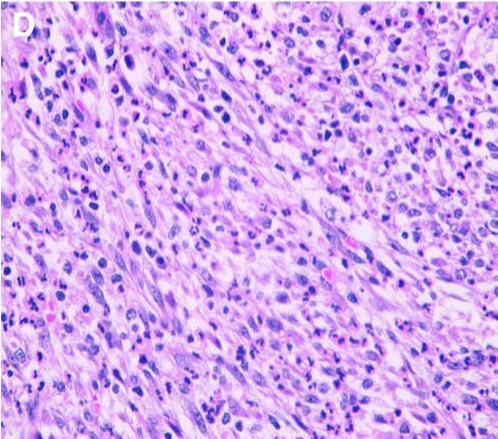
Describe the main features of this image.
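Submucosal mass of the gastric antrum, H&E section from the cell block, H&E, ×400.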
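This high-power view shows a tumor made of spindled to epithelioid cells with many neutrophils mixed among them. The tumor cells have elongated to oval nuclei and pale pink, ill-defined cytoplasm. Some of these cells are plump and rounded, while others are slender and spindle-shaped. They run roughly in parallel bundles.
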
